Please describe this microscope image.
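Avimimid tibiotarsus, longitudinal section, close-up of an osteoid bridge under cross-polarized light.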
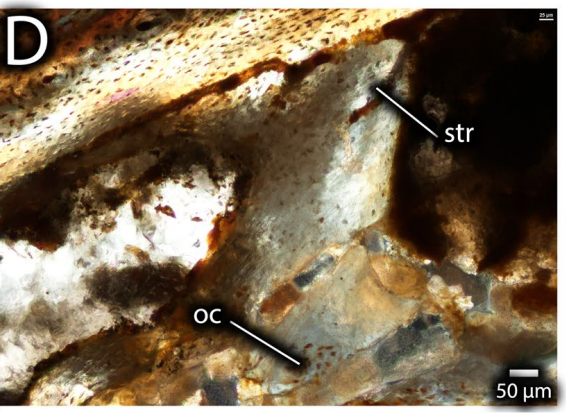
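The finely layered bone at upper left with its small dark elongate lacunae remains visible, while the adjacent paler matrix shows muted grey to bluish tones. In the lower part, small dark lacunae lie grouped together in clusters within the matrix. Faint striations run through the matrix near the upper dark region. Opaque black and dark brown patches and grey to bluish angular mineral patches surround the matrix.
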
